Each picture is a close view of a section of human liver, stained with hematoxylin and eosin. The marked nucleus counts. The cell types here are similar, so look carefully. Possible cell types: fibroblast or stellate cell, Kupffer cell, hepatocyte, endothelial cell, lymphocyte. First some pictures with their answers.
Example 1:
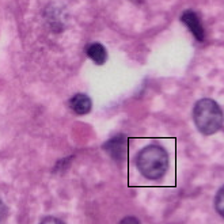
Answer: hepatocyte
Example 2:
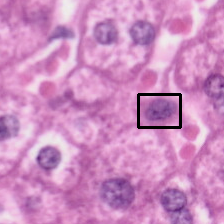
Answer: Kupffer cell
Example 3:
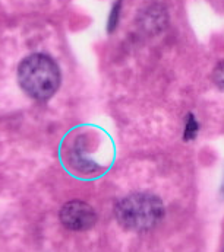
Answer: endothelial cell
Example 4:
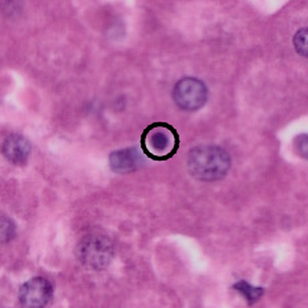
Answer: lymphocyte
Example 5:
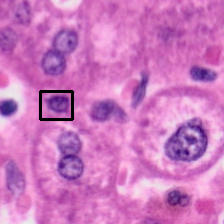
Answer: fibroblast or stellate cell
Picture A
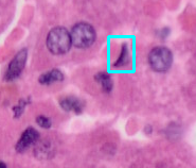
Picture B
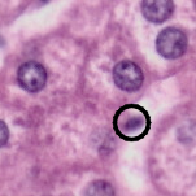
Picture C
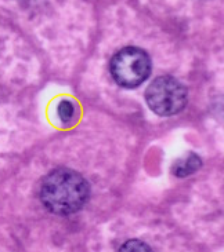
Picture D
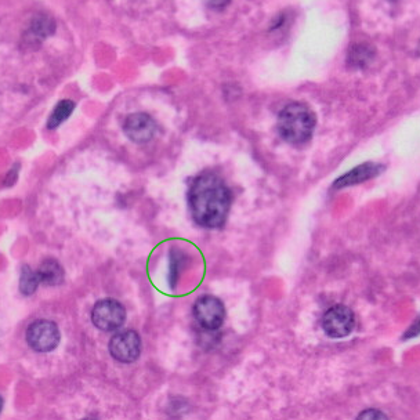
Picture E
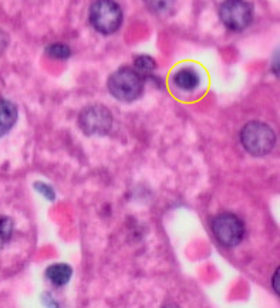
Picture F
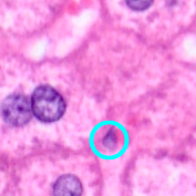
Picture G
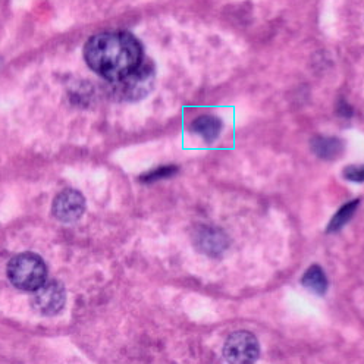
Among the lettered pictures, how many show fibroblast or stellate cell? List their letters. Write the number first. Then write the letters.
0, none of them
